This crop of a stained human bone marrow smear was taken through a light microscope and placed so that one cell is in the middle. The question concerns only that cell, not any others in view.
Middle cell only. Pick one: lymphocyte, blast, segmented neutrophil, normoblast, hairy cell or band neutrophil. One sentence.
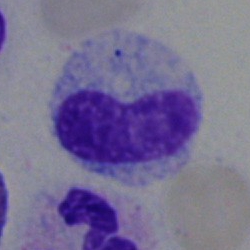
As for the cell in the middle, it is a band neutrophil.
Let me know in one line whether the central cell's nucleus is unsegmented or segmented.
One compact mass makes up the whole nucleus, round, oval or kidney-shaped.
